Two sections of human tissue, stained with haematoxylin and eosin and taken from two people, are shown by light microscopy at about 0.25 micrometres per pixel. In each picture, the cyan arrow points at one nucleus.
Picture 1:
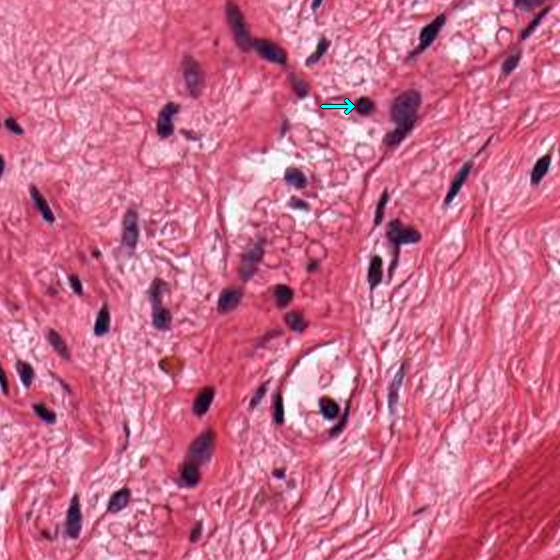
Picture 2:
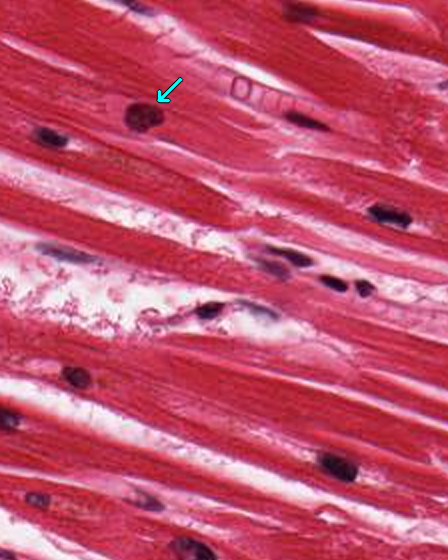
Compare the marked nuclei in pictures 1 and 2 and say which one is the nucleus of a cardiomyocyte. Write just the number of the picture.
2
